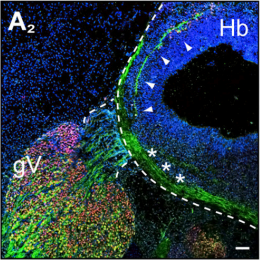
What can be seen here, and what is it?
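This section shows the hindbrain with the trigeminal ganglion lying against its lateral side at the lower left. The ganglion is packed with cells that show red and green together. Green fibres run along the lateral border of the hindbrain as a thick bundle, and thinner green fibres descend within the lateral hindbrain tissue just inside it. The hindbrain itself is mostly filled with blue nuclei around a dark ventricle.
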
